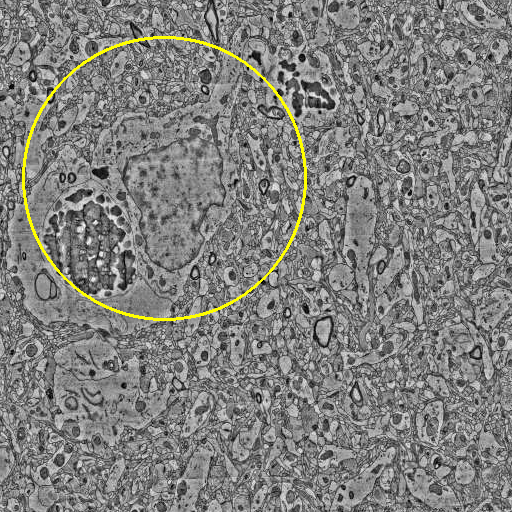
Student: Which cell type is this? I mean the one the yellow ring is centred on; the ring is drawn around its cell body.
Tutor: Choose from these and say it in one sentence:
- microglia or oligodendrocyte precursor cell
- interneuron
The cell the ring is centred on is an interneuron.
